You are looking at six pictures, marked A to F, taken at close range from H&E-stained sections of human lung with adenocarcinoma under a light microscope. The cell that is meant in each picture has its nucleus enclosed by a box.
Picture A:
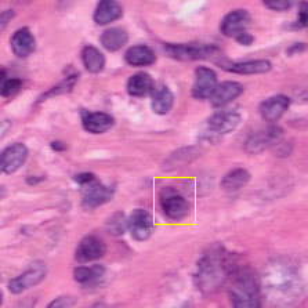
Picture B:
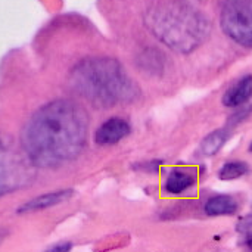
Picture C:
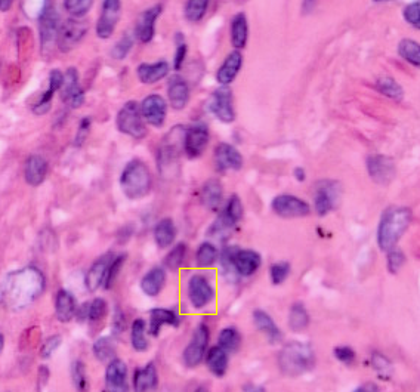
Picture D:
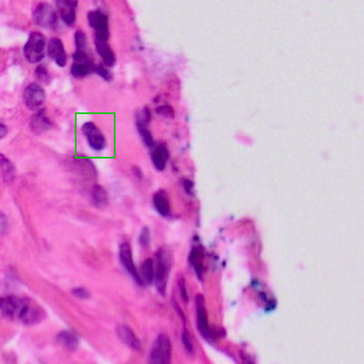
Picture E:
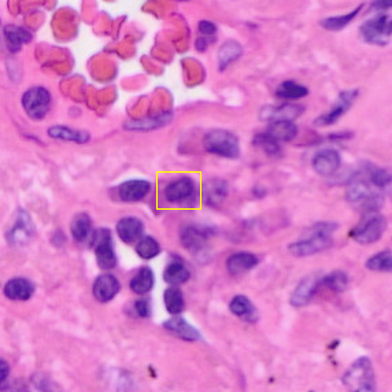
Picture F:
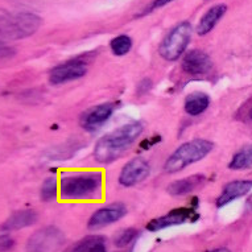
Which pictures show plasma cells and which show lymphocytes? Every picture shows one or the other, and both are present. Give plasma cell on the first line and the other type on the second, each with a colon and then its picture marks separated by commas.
plasma cell: A, B, E, F
lymphocyte: C, D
